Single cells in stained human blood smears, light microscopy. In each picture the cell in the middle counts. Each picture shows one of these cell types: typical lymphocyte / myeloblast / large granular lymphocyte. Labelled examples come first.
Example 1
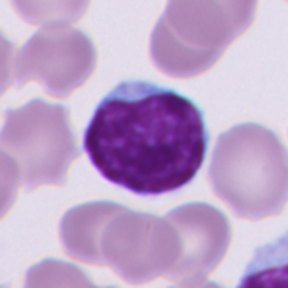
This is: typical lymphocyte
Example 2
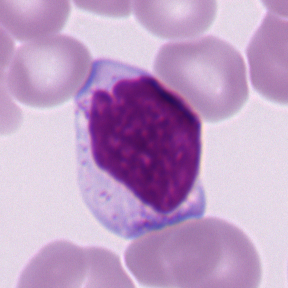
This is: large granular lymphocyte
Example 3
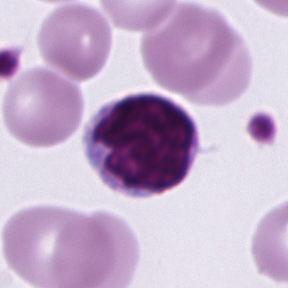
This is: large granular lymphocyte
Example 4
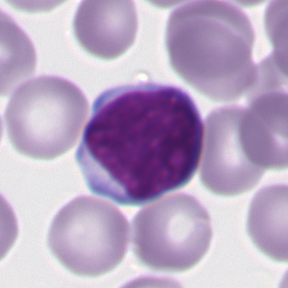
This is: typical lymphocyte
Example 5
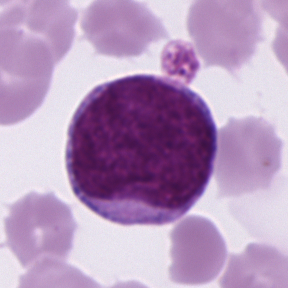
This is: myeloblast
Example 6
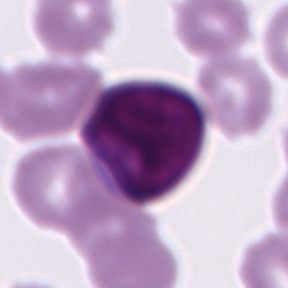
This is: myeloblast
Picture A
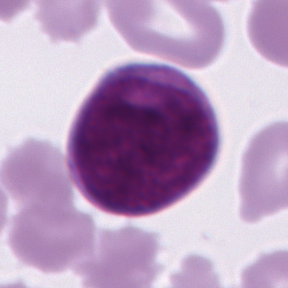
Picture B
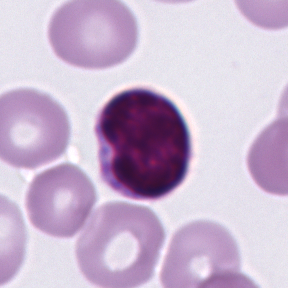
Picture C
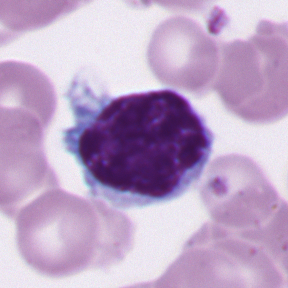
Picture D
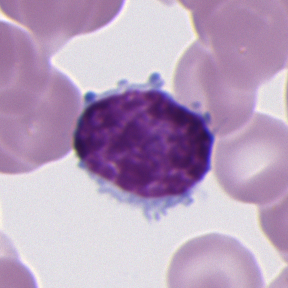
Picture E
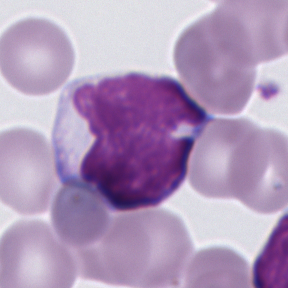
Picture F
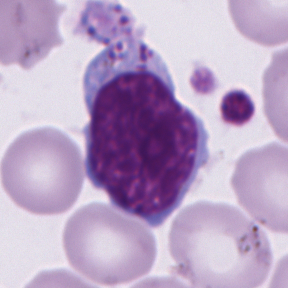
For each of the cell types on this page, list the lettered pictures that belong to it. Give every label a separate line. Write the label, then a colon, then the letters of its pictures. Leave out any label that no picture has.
typical lymphocyte: C, D
myeloblast: A
large granular lymphocyte: B, E, F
